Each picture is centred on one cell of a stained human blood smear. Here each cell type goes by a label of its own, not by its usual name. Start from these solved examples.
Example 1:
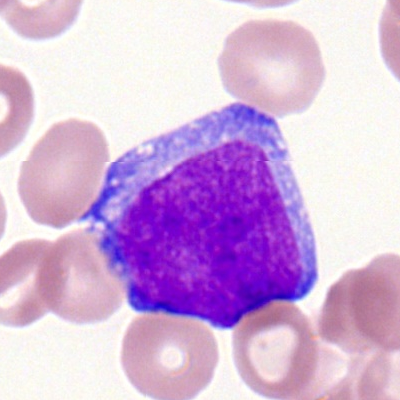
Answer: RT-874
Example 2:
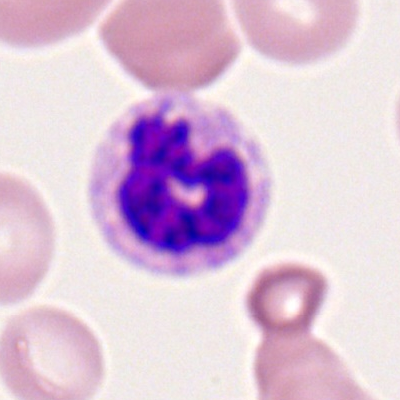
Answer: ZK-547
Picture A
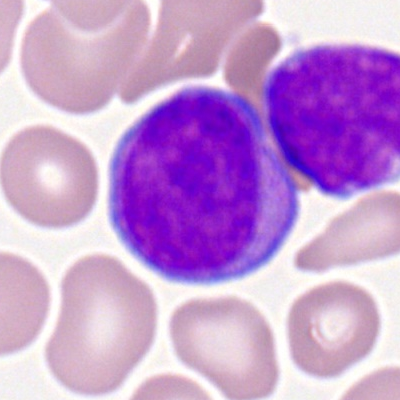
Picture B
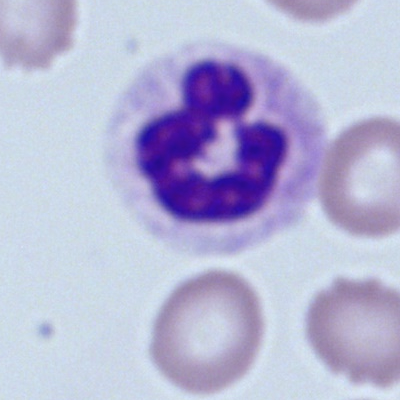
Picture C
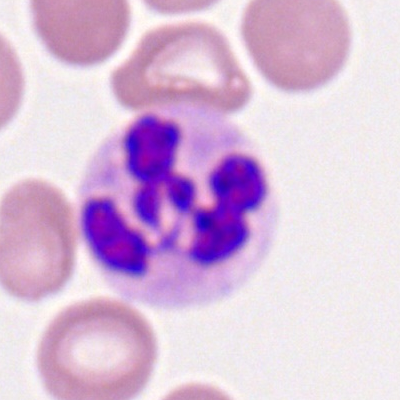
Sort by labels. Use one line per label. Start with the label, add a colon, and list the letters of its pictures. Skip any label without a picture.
RT-874: A
ZK-547: B, C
